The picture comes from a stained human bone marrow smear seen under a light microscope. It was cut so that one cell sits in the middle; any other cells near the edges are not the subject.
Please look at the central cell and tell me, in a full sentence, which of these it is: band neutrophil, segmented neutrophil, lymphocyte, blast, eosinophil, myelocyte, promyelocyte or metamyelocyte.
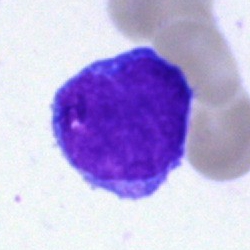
At the middle of the frame sits a blast.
